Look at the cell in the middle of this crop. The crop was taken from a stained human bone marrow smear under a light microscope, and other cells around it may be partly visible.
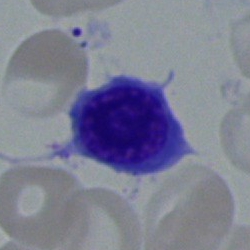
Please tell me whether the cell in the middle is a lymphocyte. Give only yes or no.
yes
